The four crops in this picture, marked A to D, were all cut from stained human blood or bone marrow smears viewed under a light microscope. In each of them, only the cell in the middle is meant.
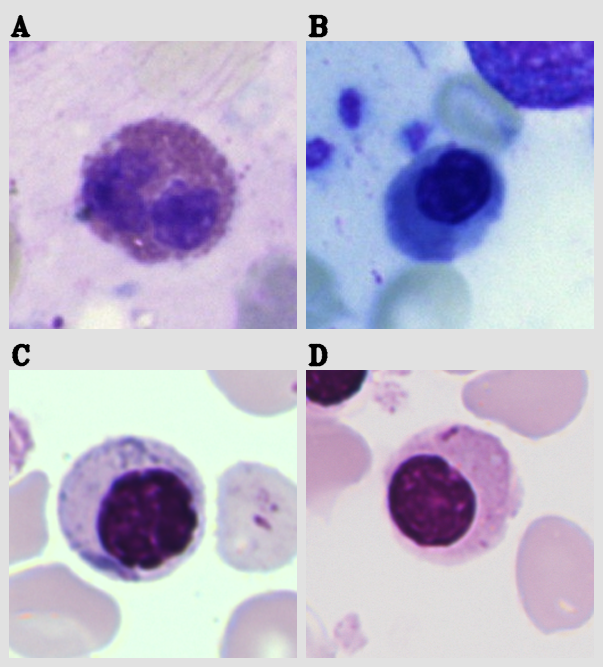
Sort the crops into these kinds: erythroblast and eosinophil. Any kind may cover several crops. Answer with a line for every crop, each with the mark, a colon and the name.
A: eosinophil
B: erythroblast
C: erythroblast
D: erythroblast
